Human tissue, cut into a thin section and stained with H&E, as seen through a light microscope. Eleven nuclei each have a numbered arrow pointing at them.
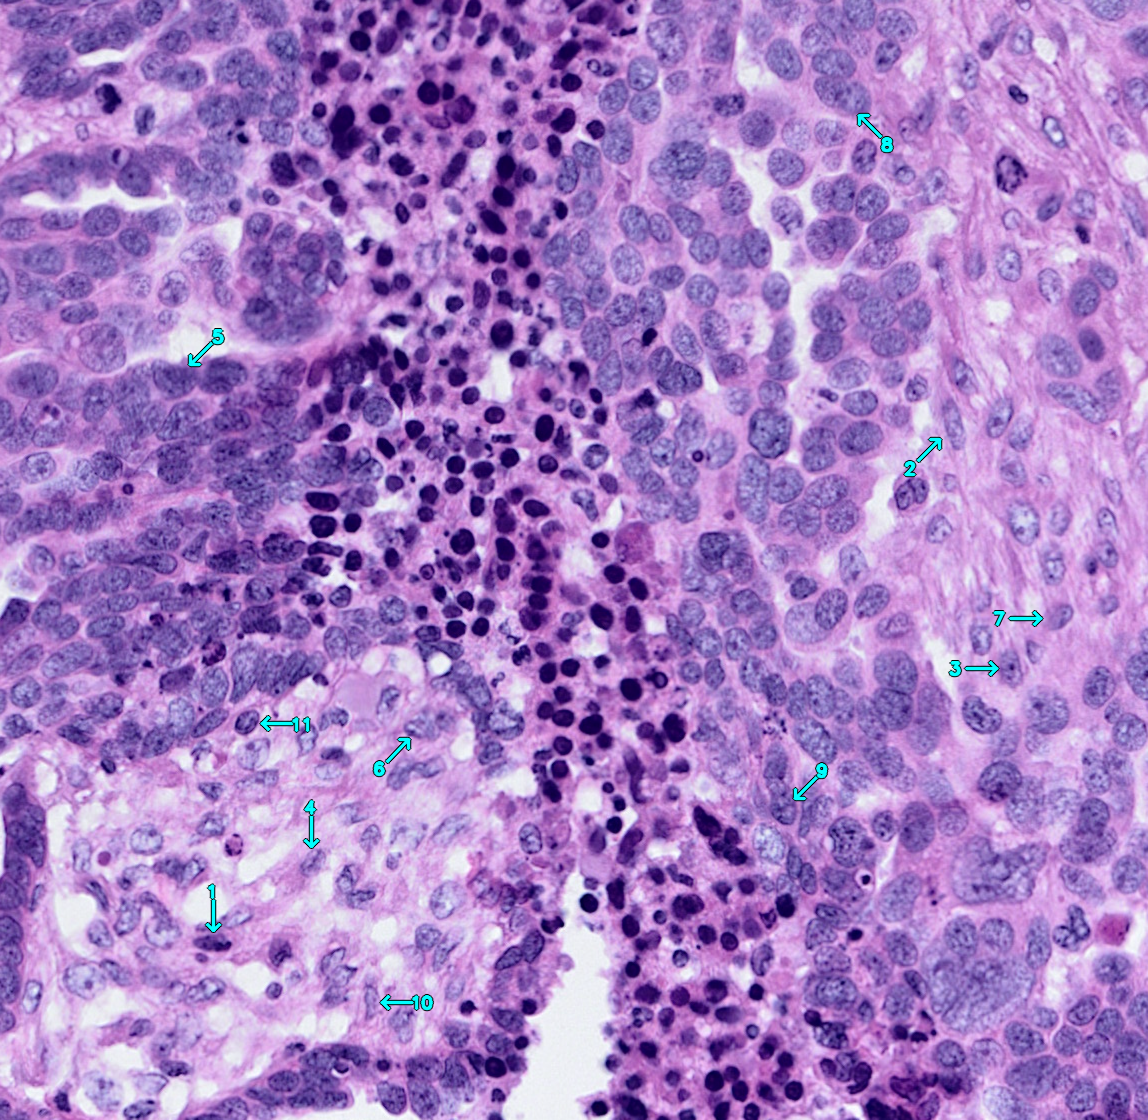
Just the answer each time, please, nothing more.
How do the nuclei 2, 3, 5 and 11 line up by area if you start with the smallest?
11, 3, 2, 5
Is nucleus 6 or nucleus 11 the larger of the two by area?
6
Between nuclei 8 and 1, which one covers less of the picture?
1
